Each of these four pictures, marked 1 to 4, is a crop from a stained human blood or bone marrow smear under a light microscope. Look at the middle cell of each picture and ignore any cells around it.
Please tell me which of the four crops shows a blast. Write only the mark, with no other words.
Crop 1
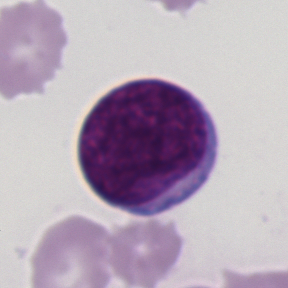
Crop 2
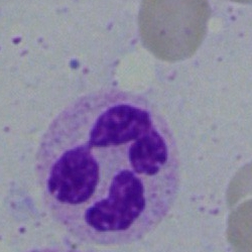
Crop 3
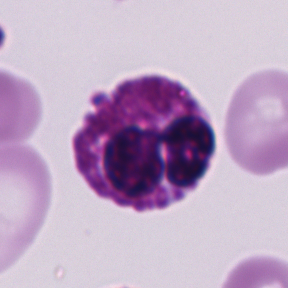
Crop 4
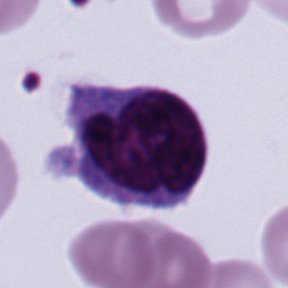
1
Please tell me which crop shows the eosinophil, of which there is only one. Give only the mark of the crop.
3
